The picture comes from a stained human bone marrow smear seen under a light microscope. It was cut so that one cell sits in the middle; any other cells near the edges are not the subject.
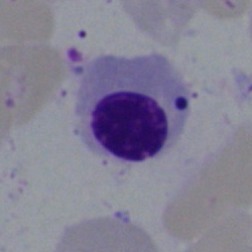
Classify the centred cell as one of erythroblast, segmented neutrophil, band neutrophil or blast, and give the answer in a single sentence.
In the central position of this crop, the cell is an erythroblast.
